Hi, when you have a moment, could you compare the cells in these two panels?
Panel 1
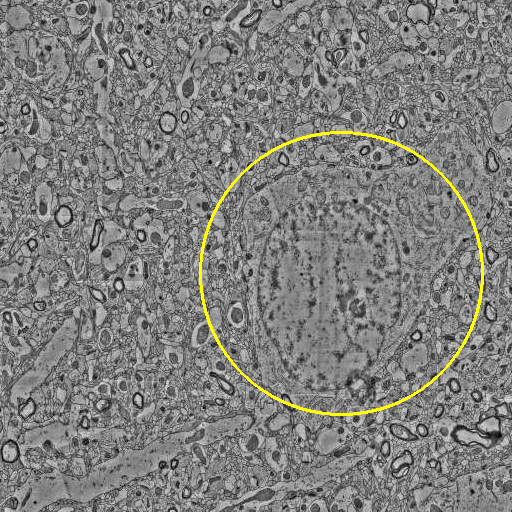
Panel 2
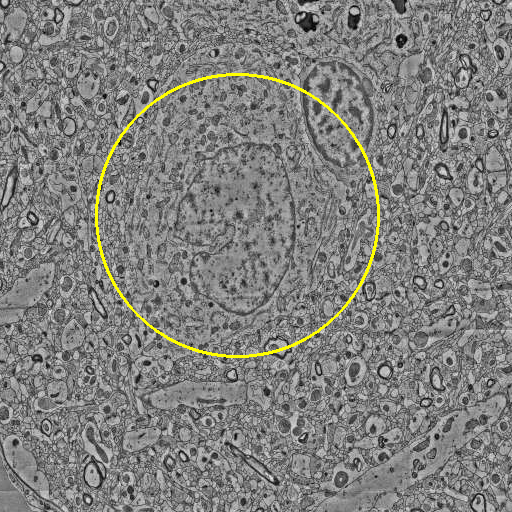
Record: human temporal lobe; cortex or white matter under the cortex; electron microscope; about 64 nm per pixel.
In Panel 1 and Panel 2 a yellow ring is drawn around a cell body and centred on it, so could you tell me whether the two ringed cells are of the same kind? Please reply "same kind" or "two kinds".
same kind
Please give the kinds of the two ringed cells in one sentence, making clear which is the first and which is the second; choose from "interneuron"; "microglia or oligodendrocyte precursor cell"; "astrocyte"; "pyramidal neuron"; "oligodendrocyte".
Each cell, in the first picture and the second, is an interneuron.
